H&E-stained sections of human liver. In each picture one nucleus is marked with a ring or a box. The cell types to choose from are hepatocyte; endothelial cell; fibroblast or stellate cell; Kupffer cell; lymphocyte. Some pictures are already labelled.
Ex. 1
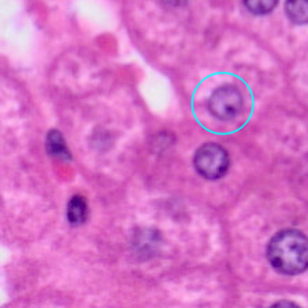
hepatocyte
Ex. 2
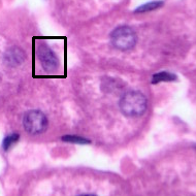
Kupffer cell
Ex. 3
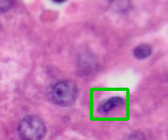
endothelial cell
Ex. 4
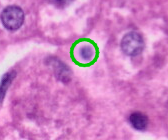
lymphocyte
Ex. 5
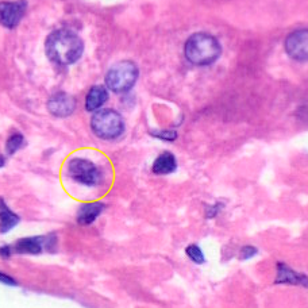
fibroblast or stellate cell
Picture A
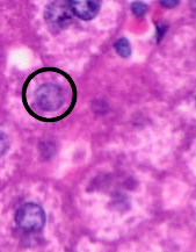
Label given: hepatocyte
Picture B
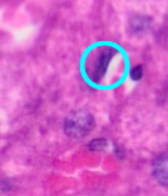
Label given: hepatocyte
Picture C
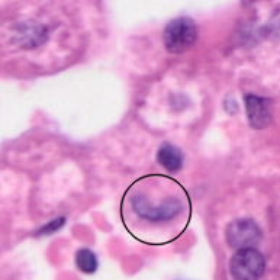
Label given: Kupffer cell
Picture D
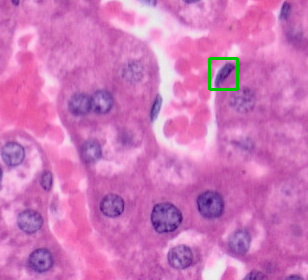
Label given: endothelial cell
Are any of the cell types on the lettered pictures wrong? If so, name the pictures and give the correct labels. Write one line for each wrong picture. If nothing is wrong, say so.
B: endothelial cell, not hepatocyte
